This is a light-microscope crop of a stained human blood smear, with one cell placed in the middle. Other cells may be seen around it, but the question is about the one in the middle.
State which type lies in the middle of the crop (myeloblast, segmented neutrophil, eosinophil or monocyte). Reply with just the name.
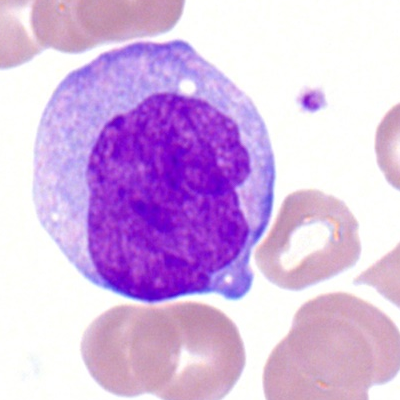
monocyte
